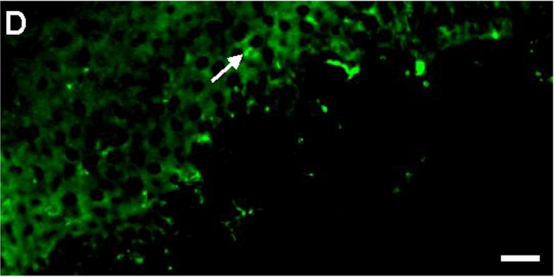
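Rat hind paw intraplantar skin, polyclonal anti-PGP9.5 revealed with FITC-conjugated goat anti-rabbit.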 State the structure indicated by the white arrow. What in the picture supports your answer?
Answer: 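Intraepidermal nerve fibers. The arrow points at a small bright green thread-like profile within a layer marked by a honeycomb of dark round holes.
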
